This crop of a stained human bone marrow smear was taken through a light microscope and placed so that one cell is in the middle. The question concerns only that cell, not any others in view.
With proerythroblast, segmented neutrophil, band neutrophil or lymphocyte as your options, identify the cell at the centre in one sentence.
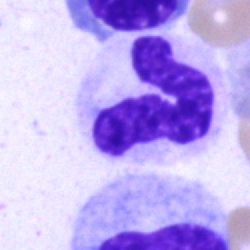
The center cell of this crop is a band neutrophil.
